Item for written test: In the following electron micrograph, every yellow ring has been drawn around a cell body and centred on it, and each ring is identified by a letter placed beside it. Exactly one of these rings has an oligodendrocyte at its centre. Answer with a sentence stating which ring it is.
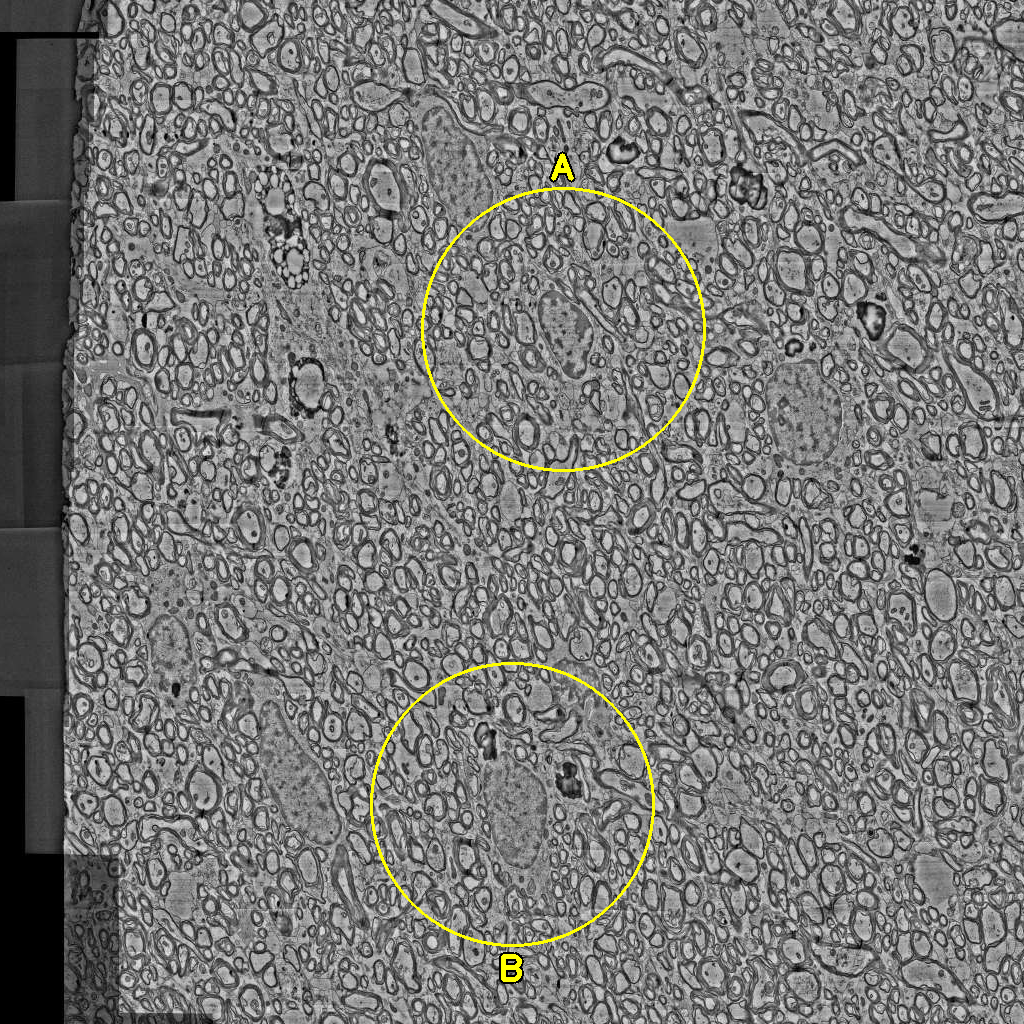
It is ring B.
